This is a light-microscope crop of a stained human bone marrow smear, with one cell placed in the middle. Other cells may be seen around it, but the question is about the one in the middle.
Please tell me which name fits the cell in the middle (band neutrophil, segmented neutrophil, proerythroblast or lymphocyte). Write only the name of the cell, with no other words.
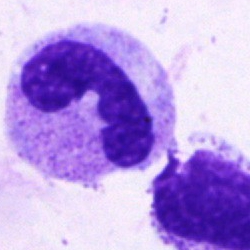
segmented neutrophil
